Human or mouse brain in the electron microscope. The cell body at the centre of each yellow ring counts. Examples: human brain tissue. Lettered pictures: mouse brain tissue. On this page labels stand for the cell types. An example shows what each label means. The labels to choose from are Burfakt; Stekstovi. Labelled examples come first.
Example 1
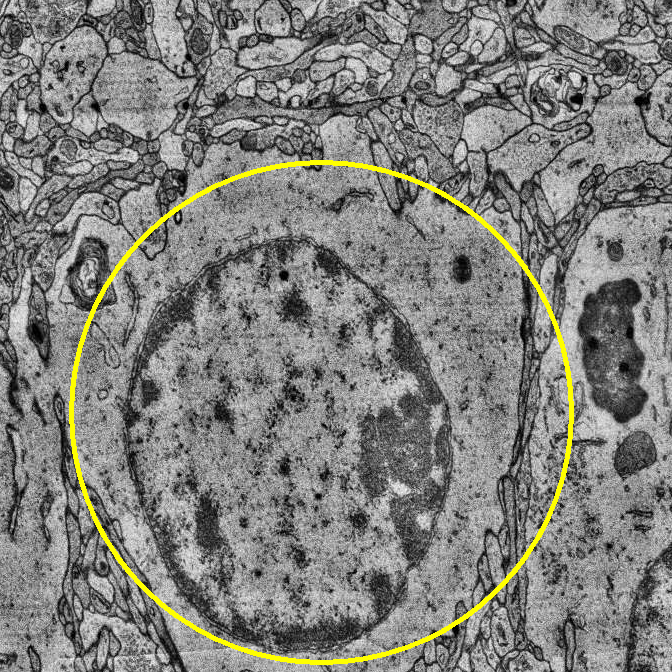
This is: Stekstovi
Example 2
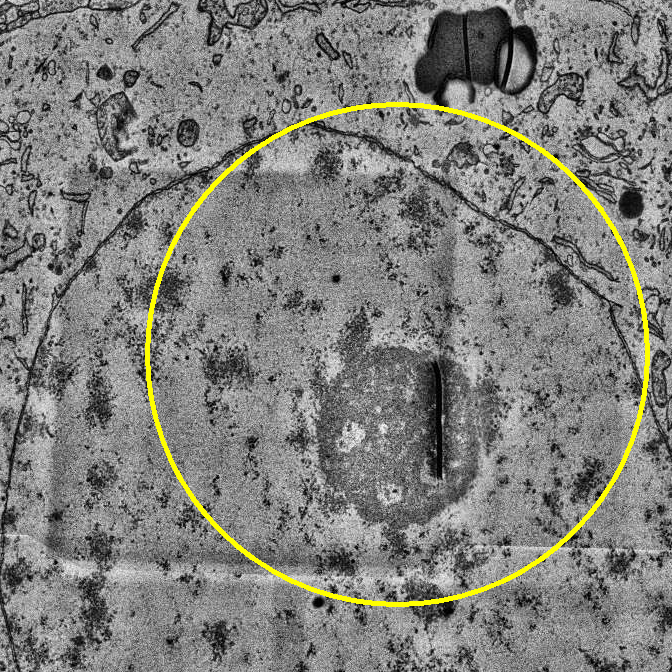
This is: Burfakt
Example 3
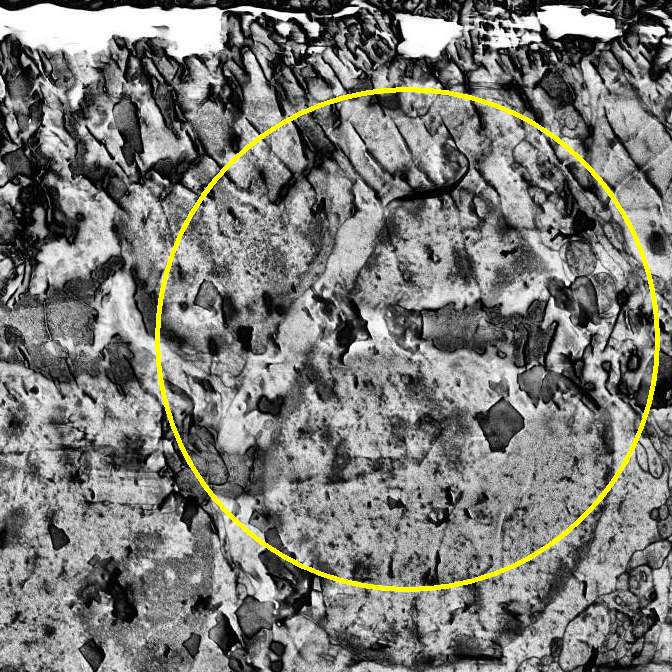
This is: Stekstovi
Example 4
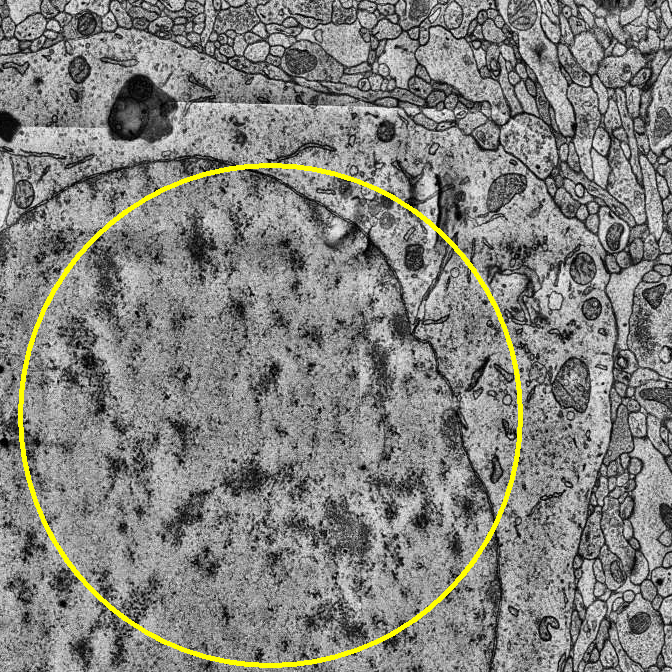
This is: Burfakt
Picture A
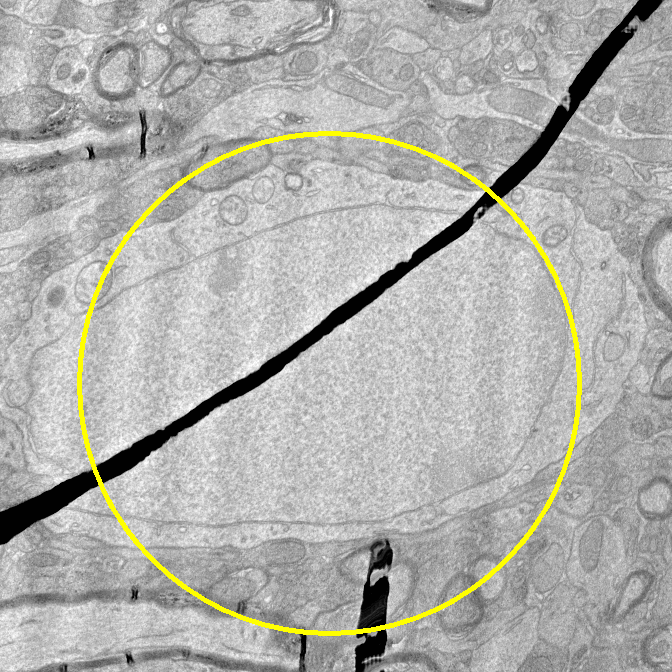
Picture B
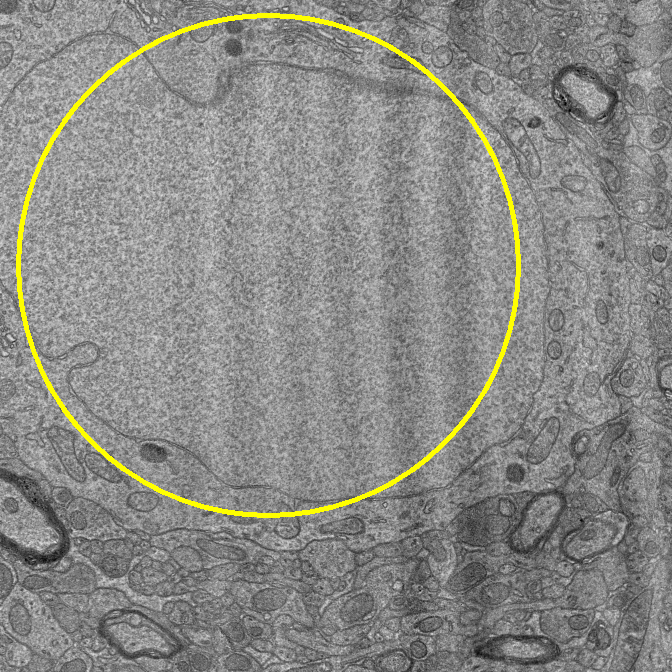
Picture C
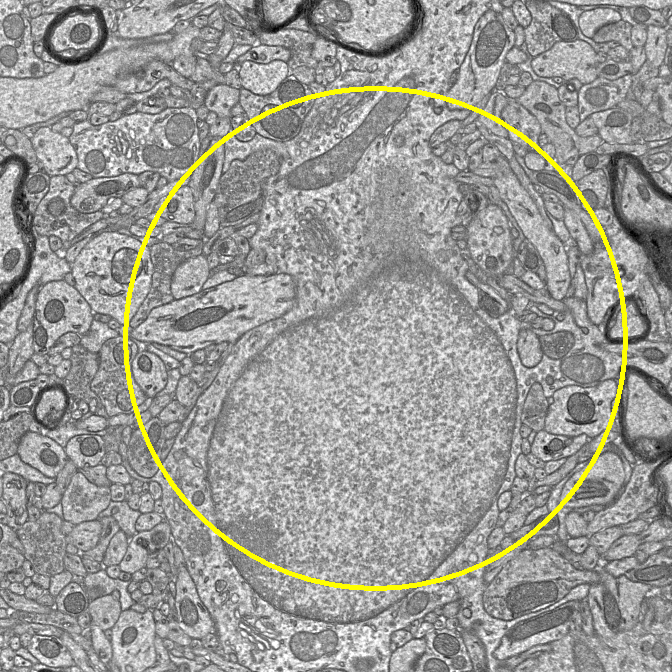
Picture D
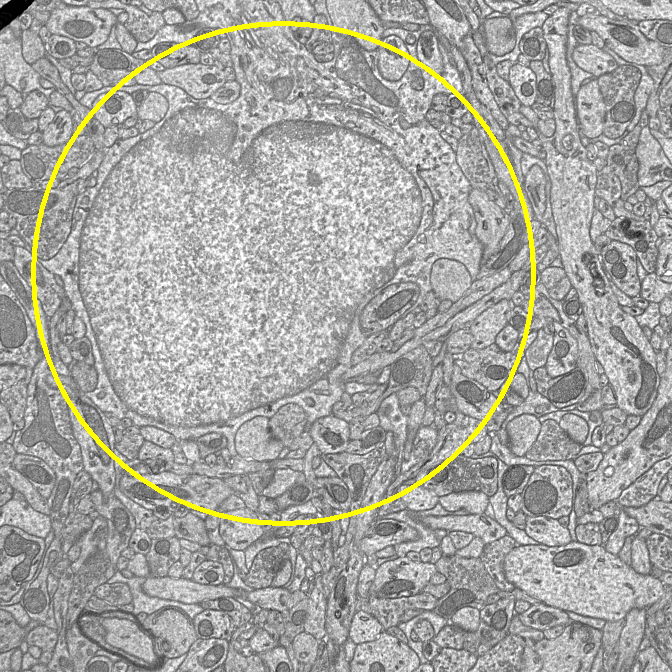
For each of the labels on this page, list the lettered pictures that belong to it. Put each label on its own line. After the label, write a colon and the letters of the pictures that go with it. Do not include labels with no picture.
Burfakt: A, B
Stekstovi: C, D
